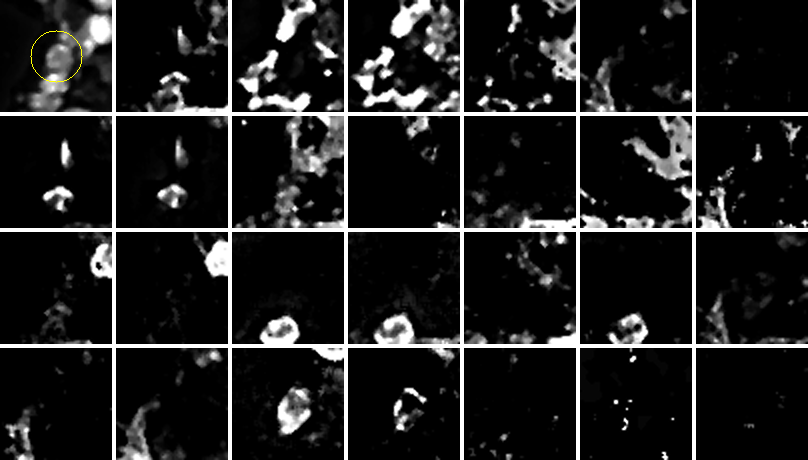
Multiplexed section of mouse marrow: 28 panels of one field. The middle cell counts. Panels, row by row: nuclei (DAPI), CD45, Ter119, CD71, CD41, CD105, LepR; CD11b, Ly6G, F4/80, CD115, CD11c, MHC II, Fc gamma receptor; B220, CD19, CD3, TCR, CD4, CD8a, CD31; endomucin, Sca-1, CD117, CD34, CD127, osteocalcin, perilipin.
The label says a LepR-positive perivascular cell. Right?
Wrong: this is a common myeloid progenitor.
